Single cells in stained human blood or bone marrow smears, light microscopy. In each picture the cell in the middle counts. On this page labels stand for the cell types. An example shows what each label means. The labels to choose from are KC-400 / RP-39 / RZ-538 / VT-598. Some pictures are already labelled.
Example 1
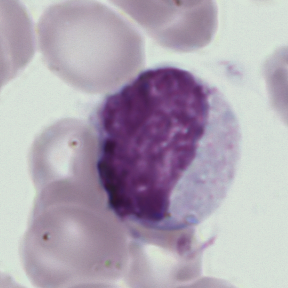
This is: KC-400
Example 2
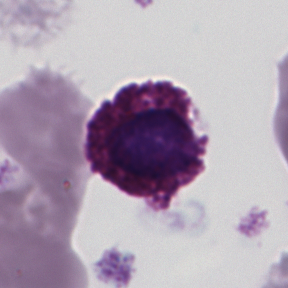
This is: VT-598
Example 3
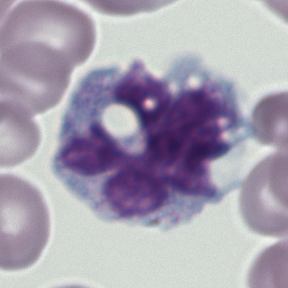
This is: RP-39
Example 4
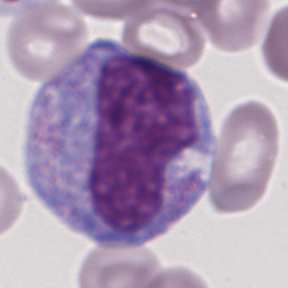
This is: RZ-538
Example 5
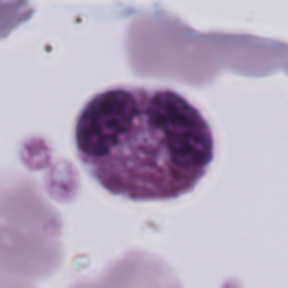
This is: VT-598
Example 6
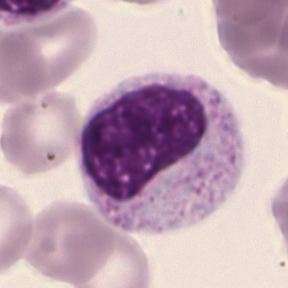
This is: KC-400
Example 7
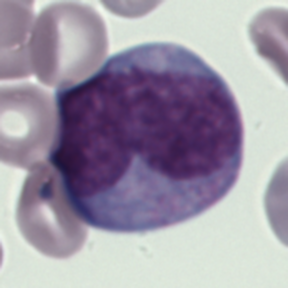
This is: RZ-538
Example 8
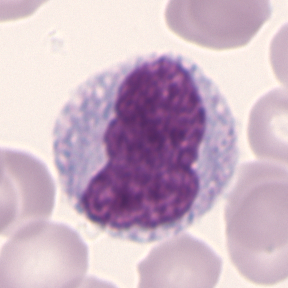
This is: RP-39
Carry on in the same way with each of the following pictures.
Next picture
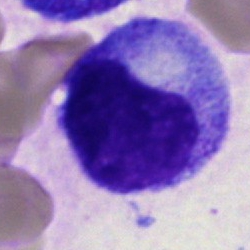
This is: KC-400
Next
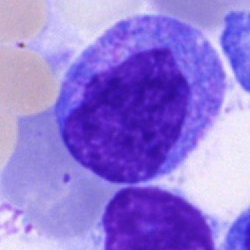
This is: RZ-538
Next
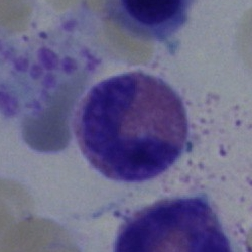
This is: VT-598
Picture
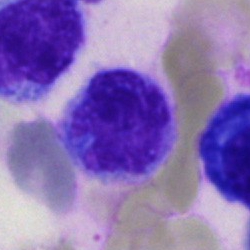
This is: RP-39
